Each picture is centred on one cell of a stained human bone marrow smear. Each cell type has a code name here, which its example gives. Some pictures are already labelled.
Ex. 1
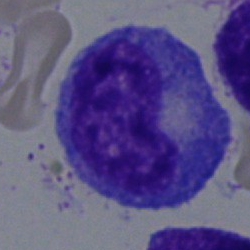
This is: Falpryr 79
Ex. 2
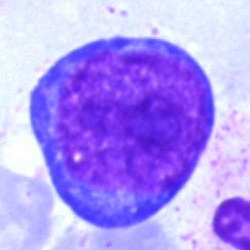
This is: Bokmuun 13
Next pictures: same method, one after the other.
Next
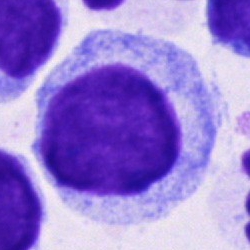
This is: Falpryr 79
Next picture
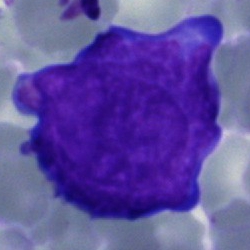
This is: Bokmuun 13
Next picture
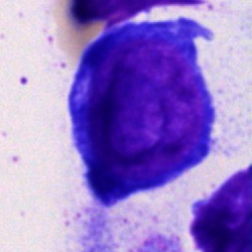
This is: Bokmuun 13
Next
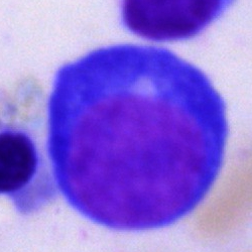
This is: Bokmuun 13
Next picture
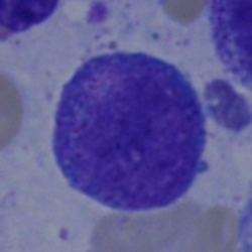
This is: Falpryr 79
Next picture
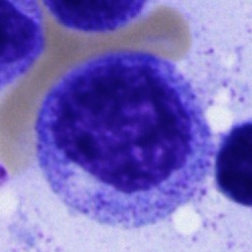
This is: Falpryr 79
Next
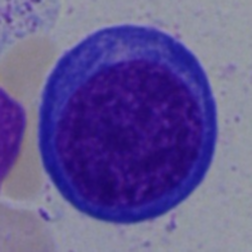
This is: Bokmuun 13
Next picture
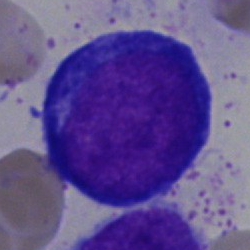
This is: Bokmuun 13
